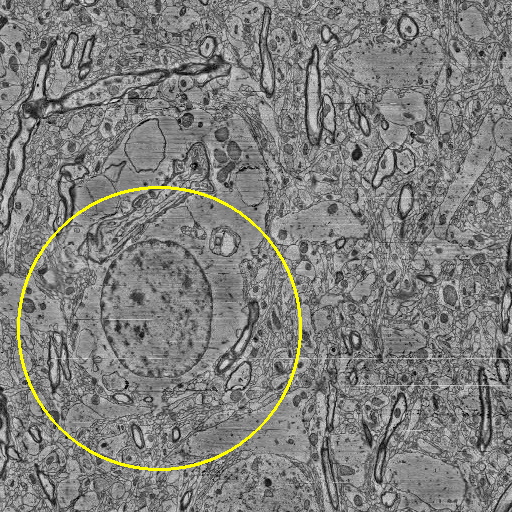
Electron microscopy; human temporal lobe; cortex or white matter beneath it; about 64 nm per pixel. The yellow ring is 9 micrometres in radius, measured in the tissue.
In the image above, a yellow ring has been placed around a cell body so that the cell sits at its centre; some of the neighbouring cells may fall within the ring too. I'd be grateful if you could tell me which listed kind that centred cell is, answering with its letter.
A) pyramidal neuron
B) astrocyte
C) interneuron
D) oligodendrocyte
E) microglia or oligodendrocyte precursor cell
B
